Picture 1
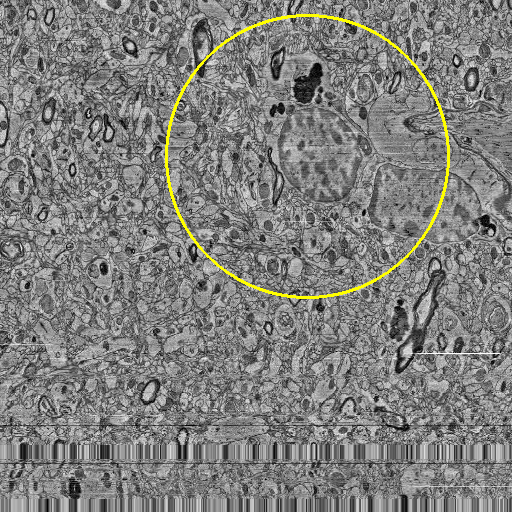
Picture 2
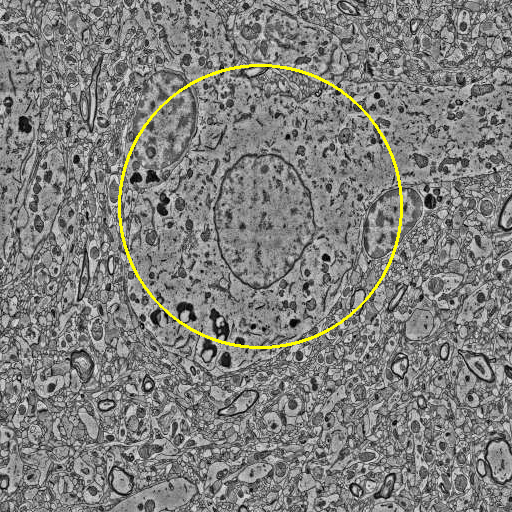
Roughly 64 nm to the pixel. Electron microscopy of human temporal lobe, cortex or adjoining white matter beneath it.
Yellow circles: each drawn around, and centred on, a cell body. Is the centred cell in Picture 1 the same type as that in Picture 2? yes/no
no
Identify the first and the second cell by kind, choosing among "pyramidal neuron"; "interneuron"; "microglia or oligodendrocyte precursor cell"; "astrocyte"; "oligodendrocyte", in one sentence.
The one in the first picture is an oligodendrocyte, while the one in the second is a pyramidal neuron.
